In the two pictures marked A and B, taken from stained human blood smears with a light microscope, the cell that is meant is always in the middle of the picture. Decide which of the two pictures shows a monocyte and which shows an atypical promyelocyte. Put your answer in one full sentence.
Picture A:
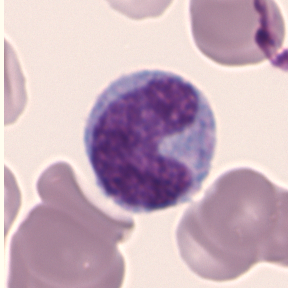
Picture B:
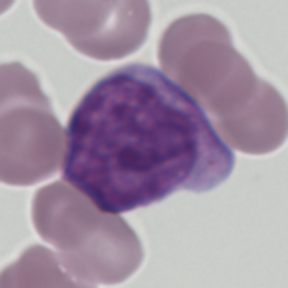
Picture A is of a monocyte, and picture B is of an atypical promyelocyte.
